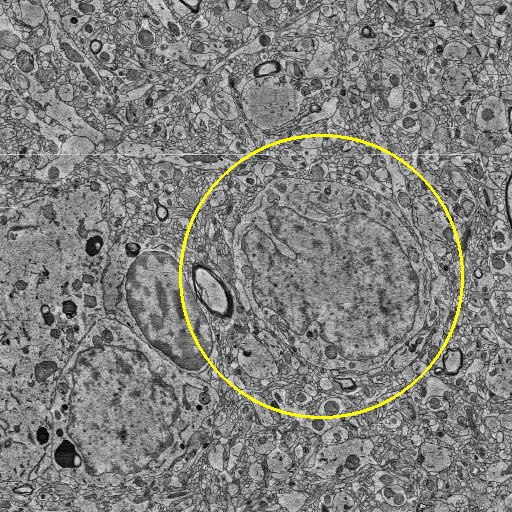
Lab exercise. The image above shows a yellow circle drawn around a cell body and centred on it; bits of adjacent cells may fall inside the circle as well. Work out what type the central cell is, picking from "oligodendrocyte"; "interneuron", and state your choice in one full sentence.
In the image above, the cell at the centre of the yellow circle is an interneuron.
